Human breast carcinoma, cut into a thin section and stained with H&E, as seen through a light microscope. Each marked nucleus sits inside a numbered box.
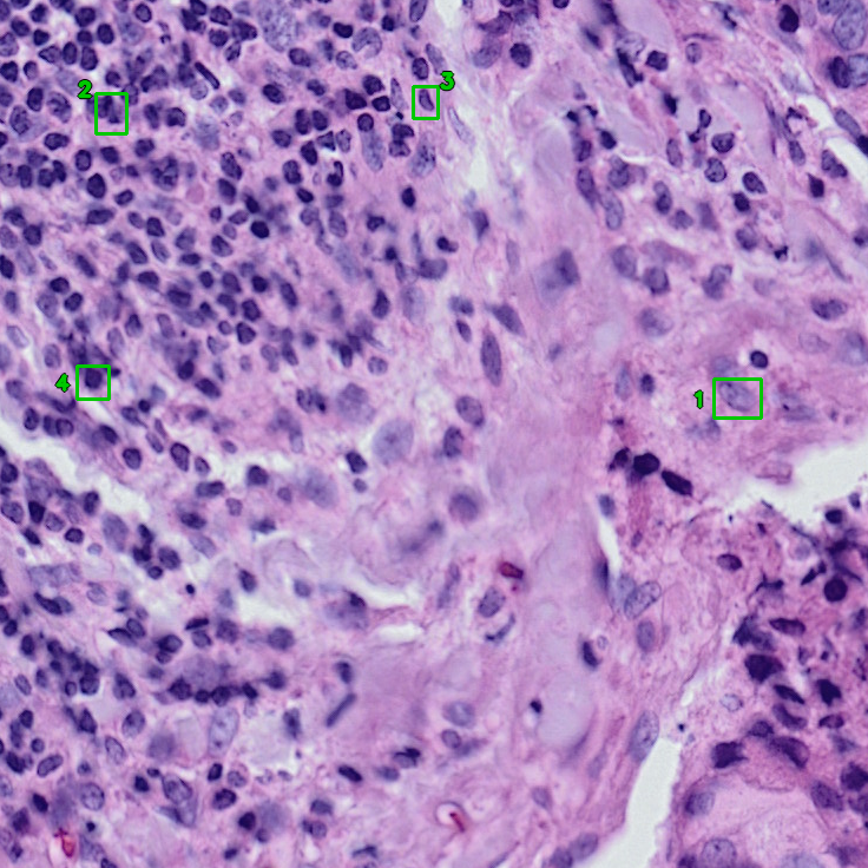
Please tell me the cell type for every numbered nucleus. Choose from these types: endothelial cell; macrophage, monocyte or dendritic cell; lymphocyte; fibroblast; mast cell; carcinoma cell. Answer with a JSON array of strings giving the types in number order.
["endothelial cell", "lymphocyte", "lymphocyte", "lymphocyte"]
